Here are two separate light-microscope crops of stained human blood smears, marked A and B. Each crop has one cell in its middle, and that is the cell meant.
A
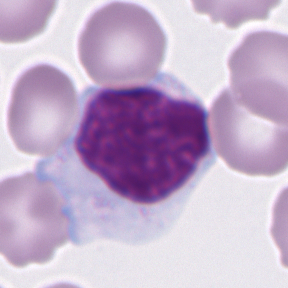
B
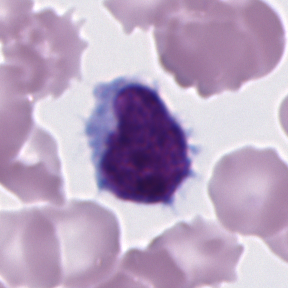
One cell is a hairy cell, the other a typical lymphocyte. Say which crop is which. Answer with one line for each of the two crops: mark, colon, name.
A: typical lymphocyte
B: hairy cell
